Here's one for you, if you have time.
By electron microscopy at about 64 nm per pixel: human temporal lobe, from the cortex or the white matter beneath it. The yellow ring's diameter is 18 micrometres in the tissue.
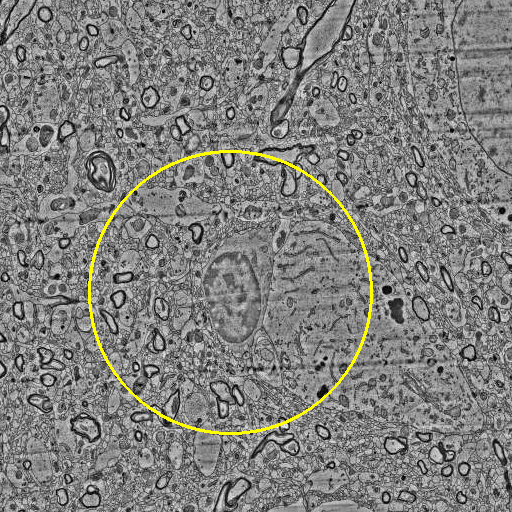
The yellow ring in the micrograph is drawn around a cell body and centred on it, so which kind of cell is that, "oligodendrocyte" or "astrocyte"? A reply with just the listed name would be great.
oligodendrocyte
